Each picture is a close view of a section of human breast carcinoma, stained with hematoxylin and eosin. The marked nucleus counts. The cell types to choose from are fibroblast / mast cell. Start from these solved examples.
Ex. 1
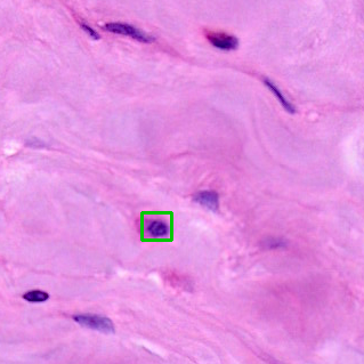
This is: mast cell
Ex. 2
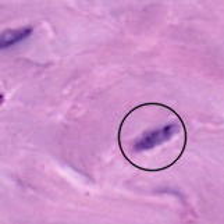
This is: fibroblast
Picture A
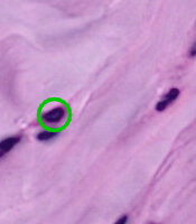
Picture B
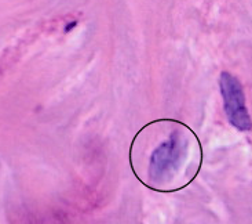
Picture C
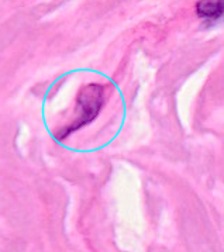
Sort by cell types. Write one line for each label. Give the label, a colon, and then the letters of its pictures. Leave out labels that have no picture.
fibroblast: B, C
mast cell: A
